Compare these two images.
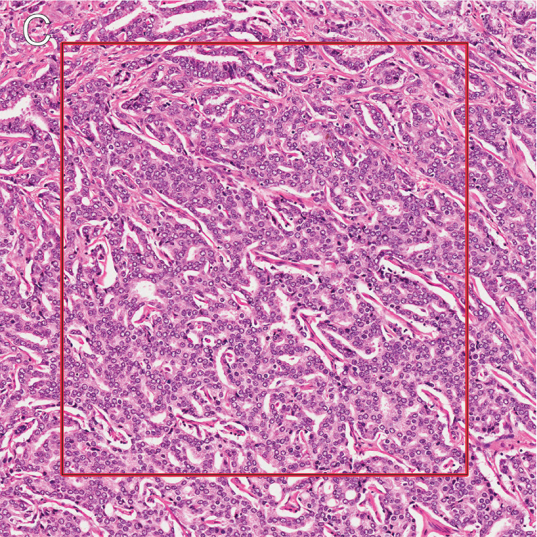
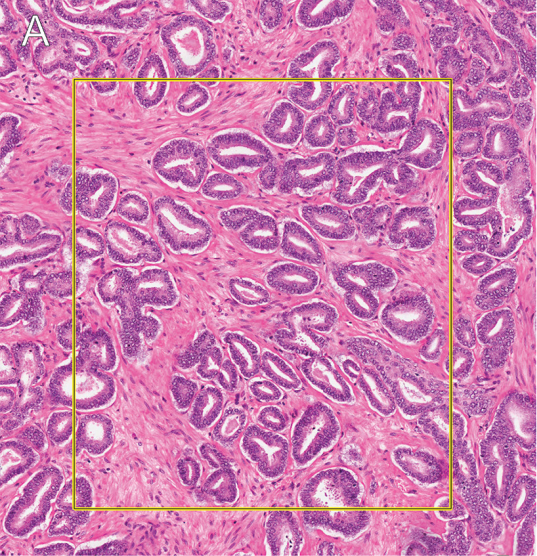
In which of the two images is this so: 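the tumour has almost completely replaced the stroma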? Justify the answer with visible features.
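The first image. First image: crowded tumour cells fill nearly the whole field with only thin strands of pink stroma. Second image: separate glands lie within broad bands of pink fibromuscular stroma.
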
